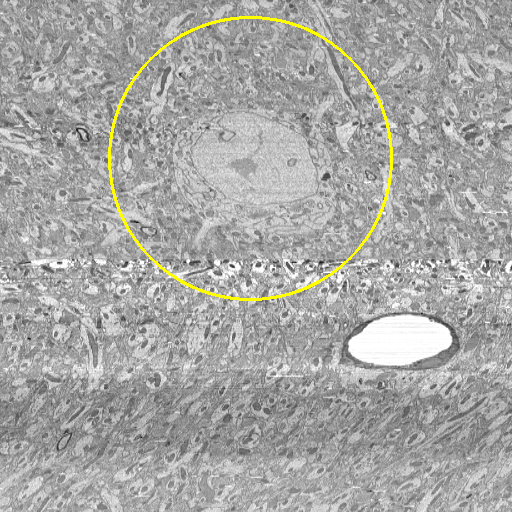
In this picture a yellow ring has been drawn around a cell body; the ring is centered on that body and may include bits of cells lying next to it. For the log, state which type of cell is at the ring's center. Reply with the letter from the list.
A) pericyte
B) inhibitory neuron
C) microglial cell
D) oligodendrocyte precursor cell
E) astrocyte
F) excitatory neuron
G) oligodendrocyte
B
